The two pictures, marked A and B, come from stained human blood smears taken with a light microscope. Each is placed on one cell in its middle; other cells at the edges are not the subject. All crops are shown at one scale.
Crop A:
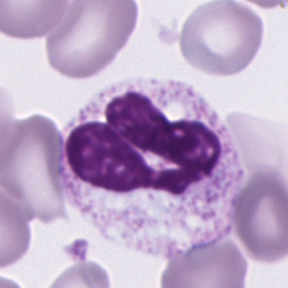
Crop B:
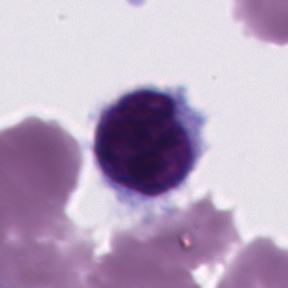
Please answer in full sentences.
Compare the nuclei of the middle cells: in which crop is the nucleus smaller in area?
The nucleus in crop B is smaller; the one in crop A has about 1.5 times its area.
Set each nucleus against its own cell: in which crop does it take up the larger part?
The nucleus fills more of the cell in crop B than in crop A.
